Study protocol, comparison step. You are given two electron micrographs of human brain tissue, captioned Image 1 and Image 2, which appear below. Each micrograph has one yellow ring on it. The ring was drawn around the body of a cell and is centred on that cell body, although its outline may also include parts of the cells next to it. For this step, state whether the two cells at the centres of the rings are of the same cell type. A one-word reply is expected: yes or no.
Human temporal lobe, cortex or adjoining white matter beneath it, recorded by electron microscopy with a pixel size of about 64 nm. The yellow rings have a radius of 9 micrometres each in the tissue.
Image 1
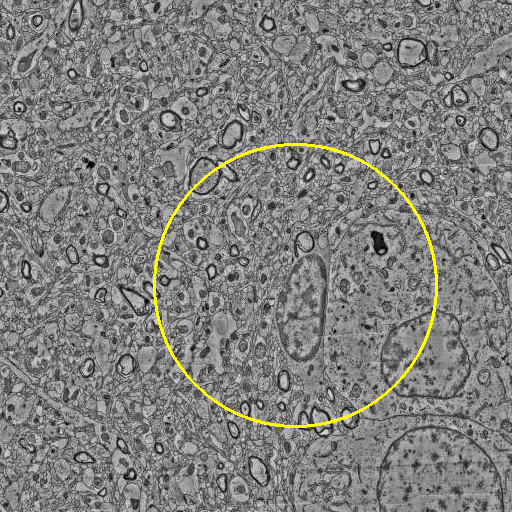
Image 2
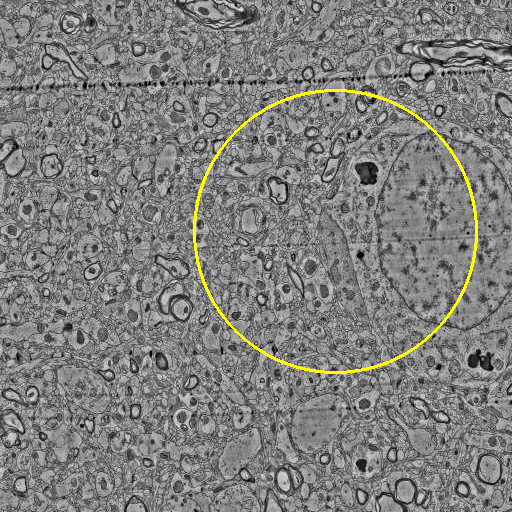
yes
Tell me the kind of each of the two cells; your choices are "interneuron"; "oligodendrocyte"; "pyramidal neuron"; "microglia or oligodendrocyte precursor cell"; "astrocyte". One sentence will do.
Each of the two rings is centred on an oligodendrocyte.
